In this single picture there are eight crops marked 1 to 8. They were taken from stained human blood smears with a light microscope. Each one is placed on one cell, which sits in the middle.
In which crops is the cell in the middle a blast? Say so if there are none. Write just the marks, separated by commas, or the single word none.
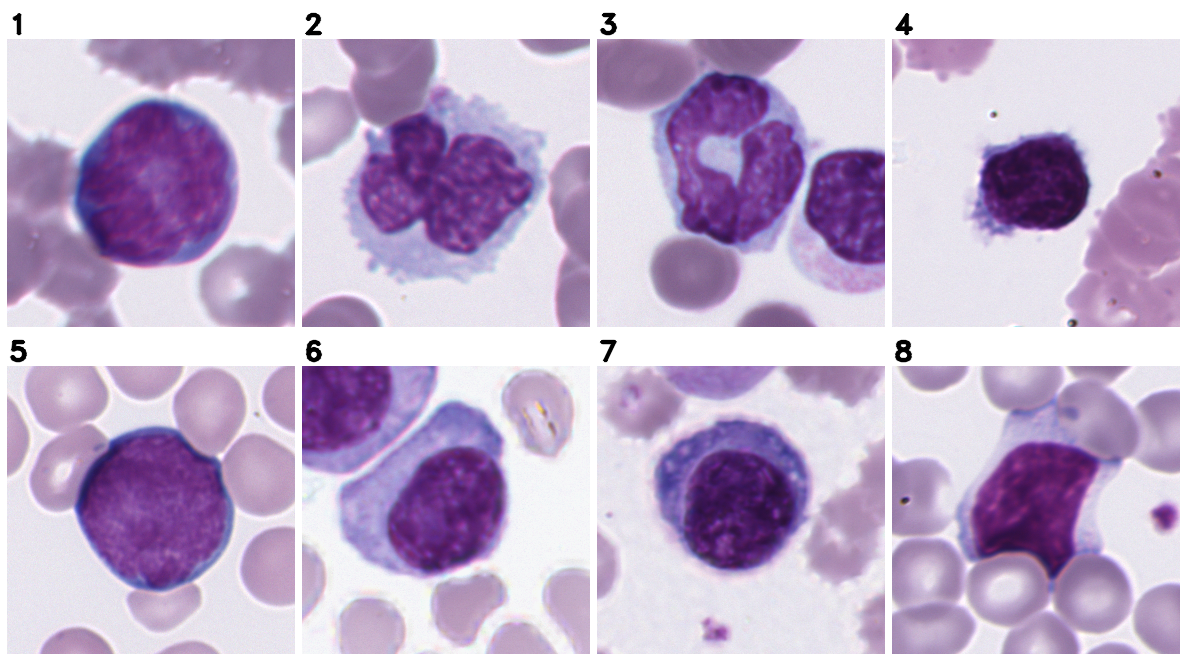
1, 5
